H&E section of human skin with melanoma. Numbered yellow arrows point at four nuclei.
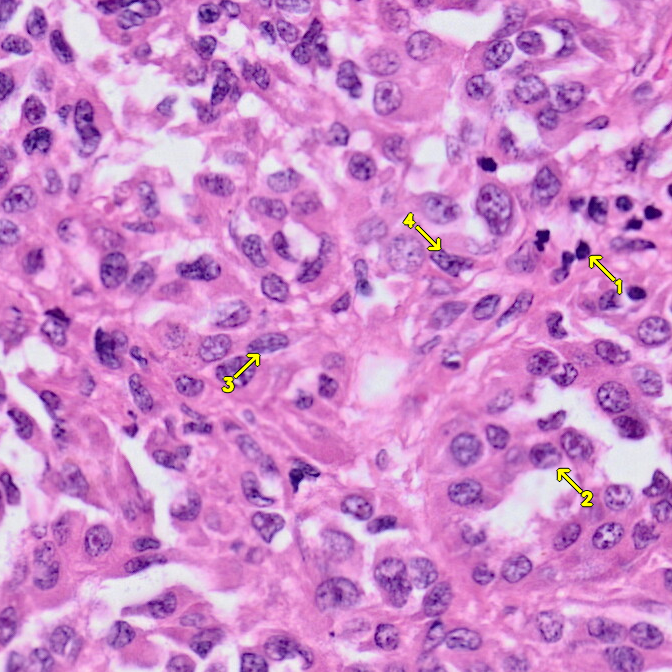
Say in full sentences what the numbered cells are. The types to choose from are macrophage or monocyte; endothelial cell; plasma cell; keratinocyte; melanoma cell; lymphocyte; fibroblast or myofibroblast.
Cell 1 is a lymphocyte, cell 2 is a melanoma cell, cell 3 is a melanoma cell and cell 4 is a melanoma cell.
